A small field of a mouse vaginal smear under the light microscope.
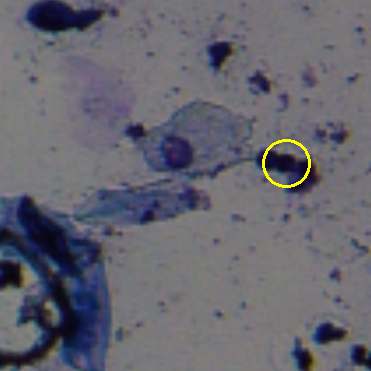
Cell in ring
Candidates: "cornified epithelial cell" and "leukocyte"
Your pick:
leukocyte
